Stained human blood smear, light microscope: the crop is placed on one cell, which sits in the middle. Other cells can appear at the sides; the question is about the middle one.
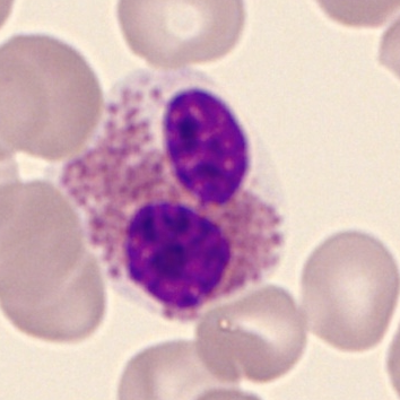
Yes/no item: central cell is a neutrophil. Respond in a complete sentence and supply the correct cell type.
No, the cell placed at the center is an eosinophil rather than a neutrophil.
